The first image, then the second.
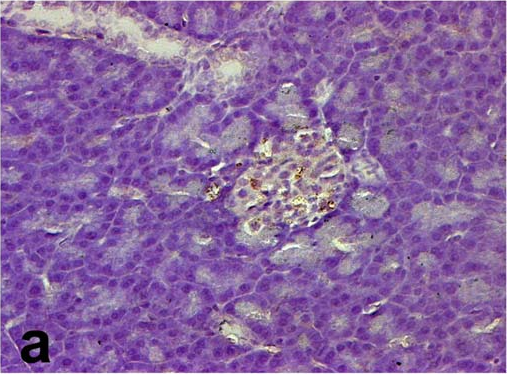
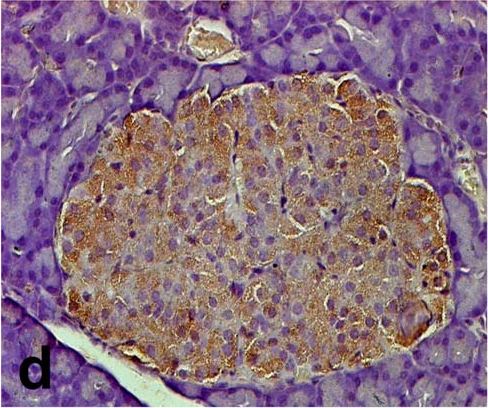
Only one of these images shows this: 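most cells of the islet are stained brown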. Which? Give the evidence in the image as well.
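The second image. Second image: the whole islet is filled with brown granular cytoplasm. First image: the islet is small and pale with only scattered faint brown granules.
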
